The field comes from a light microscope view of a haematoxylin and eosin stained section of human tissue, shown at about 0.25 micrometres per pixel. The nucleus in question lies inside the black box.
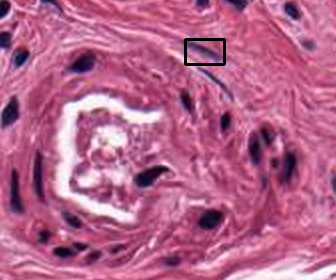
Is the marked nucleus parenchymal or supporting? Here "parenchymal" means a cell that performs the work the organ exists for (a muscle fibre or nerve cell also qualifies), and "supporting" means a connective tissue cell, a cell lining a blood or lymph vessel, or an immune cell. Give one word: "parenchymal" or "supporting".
supporting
